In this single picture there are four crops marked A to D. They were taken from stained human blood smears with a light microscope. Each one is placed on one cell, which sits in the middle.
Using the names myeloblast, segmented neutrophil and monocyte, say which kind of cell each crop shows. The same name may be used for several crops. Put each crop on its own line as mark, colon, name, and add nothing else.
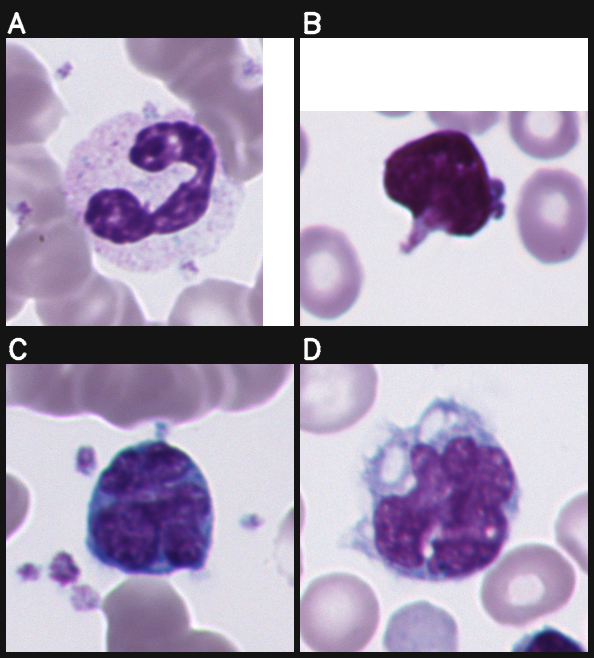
A: segmented neutrophil
B: myeloblast
C: monocyte
D: monocyte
